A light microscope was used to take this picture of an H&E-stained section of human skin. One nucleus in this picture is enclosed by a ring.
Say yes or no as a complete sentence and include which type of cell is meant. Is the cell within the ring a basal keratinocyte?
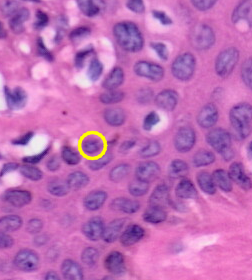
Yes, what the cell within the ring represents in this tissue is a basal keratinocyte.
